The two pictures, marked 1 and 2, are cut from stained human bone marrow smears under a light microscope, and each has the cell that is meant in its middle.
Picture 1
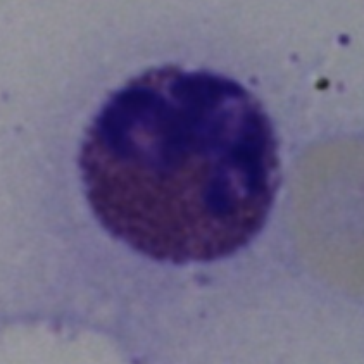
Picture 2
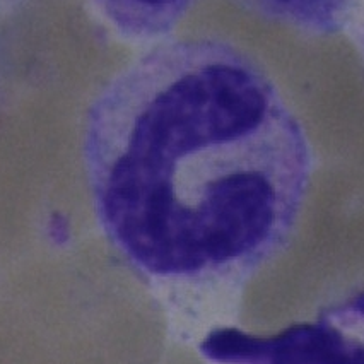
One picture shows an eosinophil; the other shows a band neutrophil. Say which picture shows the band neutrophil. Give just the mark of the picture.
2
